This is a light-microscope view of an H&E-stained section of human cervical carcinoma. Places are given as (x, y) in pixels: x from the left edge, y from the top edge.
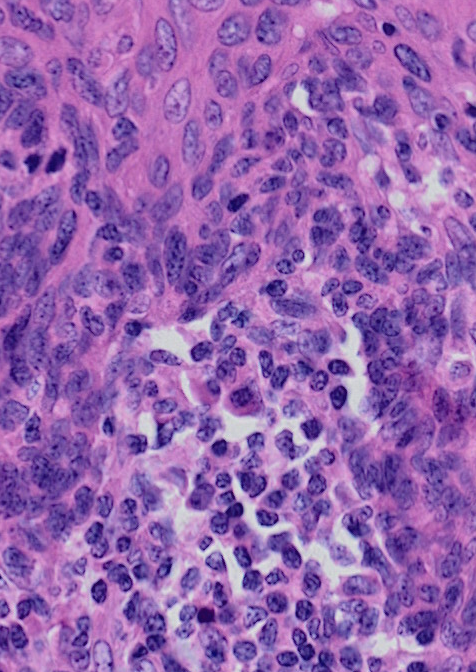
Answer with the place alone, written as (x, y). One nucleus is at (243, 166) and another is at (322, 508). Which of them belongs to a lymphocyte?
(322, 508)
